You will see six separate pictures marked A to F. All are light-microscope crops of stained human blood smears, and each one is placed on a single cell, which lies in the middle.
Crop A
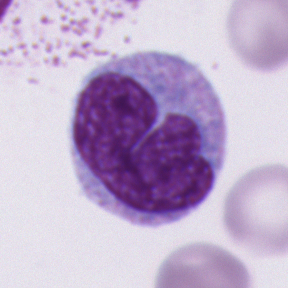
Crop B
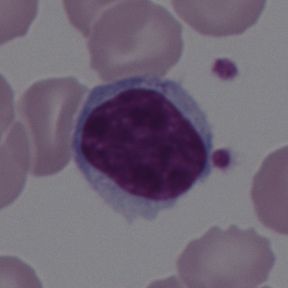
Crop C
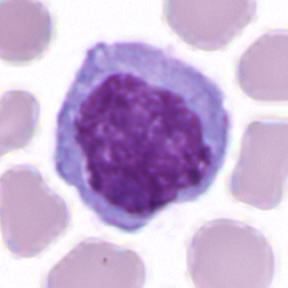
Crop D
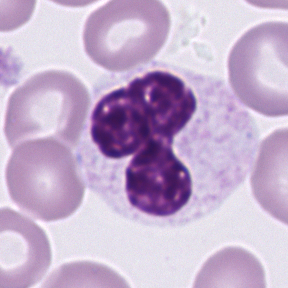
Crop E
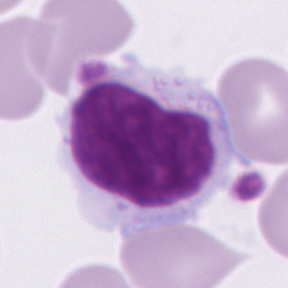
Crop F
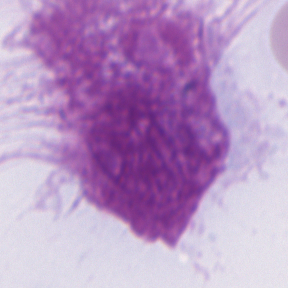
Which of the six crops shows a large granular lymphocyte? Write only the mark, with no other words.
E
